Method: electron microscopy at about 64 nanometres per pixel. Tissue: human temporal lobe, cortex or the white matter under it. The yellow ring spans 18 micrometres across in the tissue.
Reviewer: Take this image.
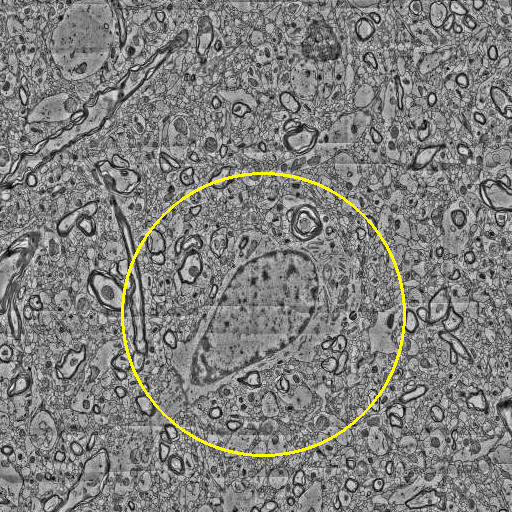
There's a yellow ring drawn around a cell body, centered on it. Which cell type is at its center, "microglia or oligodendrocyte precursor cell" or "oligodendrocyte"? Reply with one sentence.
At the center of the yellow ring is a microglial cell or oligodendrocyte precursor cell.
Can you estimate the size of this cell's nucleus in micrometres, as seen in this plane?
The nucleus measures about 9 by 6 micrometres, so it is clearly longer than it is wide in this plane.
